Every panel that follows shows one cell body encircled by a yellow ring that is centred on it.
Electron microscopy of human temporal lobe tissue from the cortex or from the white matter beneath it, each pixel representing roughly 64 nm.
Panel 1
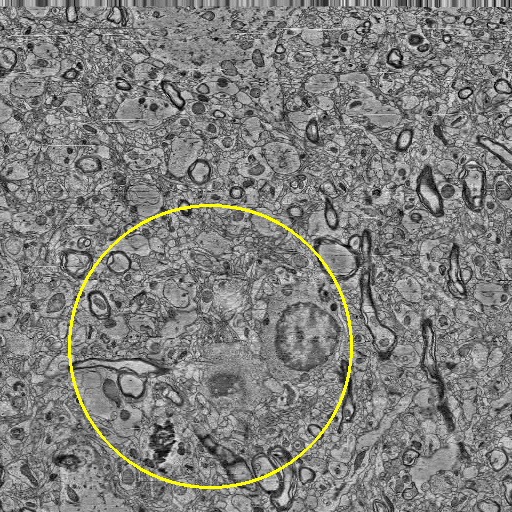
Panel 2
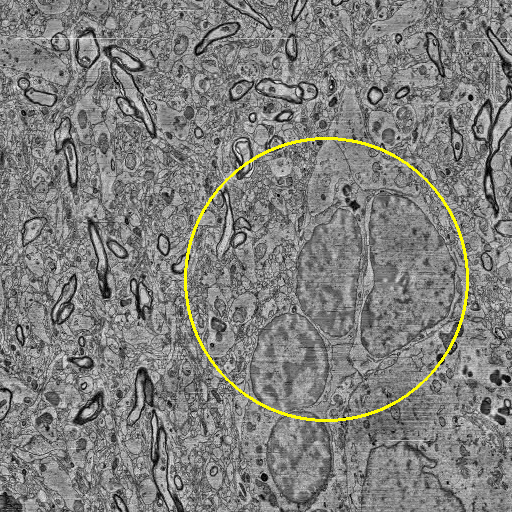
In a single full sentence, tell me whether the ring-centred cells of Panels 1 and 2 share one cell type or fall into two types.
In Panel 1 and Panel 2, the cells at the ring centres share one cell type.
